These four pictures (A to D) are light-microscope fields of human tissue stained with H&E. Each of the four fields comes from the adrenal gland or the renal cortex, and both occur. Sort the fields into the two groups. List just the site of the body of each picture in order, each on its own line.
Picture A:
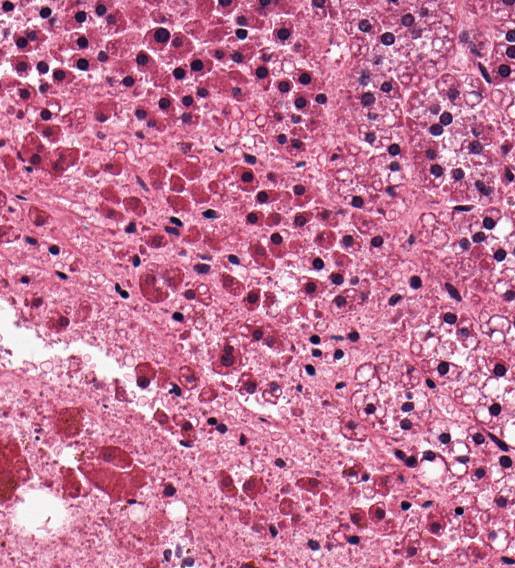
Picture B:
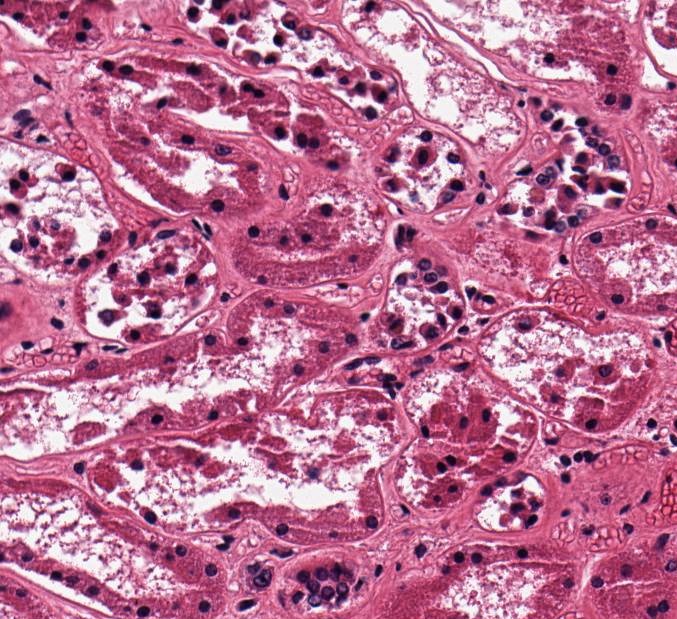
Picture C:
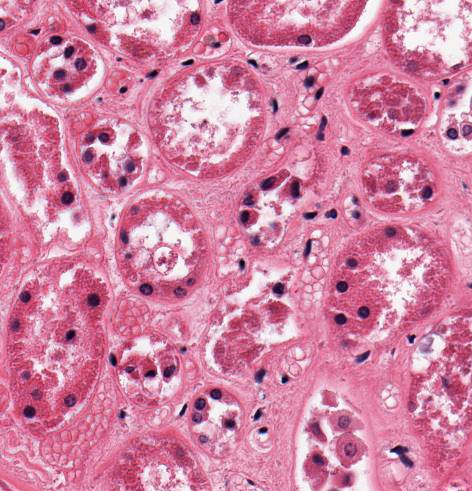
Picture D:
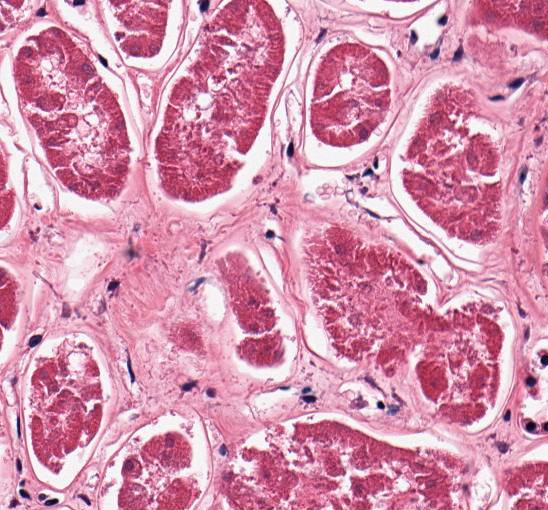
adrenal gland
renal cortex
renal cortex
renal cortex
